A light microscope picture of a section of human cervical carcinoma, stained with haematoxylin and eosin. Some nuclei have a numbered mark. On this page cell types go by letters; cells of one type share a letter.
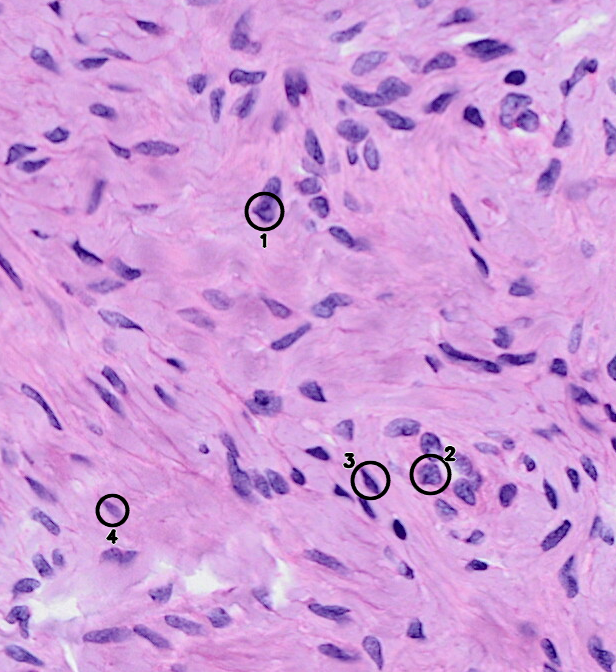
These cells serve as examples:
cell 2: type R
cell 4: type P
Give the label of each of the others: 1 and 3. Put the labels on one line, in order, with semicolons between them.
type P; type P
